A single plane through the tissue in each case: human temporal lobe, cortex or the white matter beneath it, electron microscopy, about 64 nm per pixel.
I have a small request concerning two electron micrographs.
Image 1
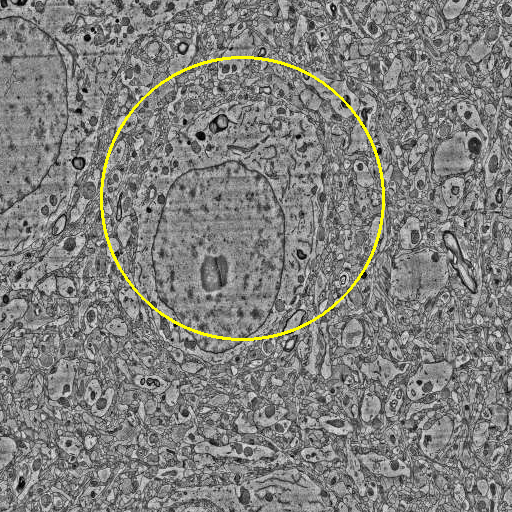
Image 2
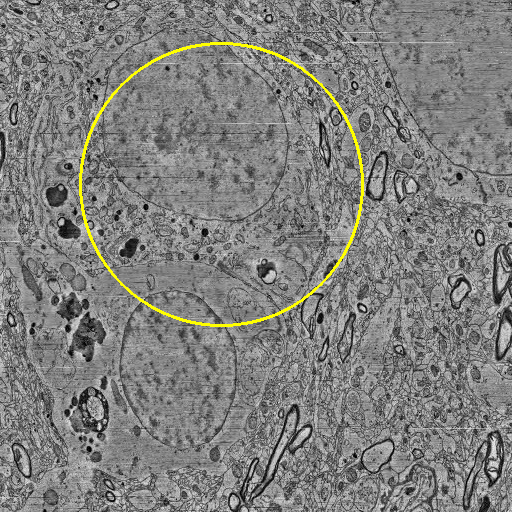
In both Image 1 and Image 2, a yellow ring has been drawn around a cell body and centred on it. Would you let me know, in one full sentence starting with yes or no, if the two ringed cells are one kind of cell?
Yes, the cells ringed in Image 1 and Image 2 are one kind of cell.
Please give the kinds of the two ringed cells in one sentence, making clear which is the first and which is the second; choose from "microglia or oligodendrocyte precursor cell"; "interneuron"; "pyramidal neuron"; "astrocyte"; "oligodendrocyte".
Each of the two pictures has a pyramidal neuron at the ring centre.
